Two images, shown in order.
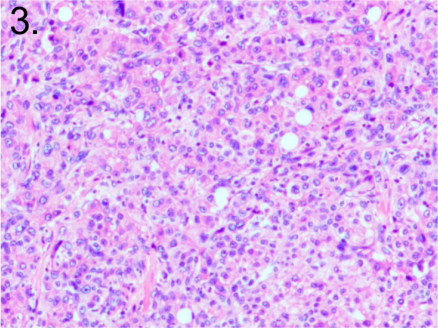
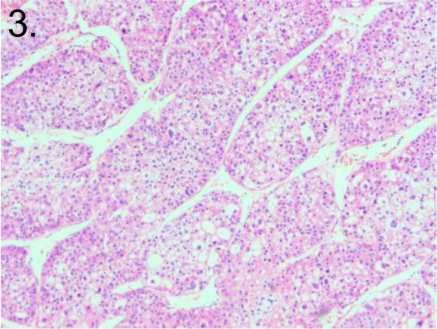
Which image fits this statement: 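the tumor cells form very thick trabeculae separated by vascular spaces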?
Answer: the second image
